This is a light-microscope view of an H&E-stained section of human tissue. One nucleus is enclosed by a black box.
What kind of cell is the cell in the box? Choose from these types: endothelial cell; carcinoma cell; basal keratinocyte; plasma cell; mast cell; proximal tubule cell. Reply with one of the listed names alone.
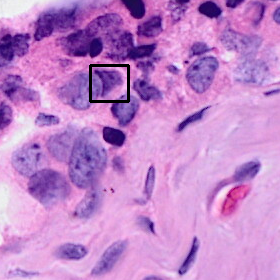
carcinoma cell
